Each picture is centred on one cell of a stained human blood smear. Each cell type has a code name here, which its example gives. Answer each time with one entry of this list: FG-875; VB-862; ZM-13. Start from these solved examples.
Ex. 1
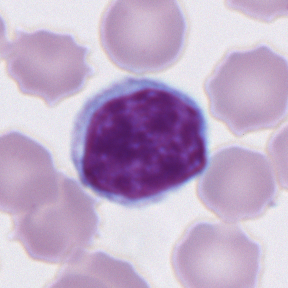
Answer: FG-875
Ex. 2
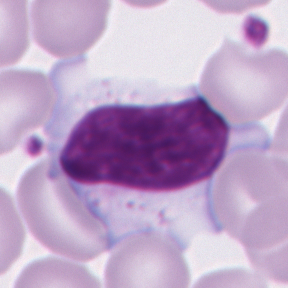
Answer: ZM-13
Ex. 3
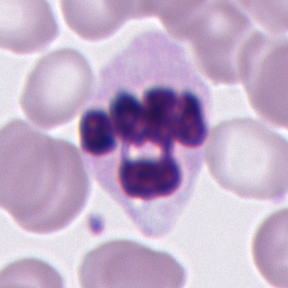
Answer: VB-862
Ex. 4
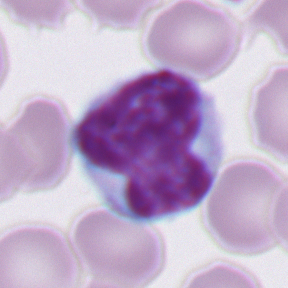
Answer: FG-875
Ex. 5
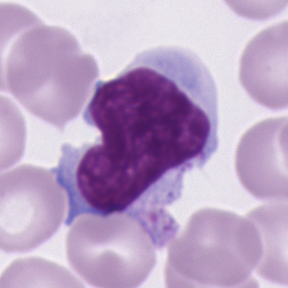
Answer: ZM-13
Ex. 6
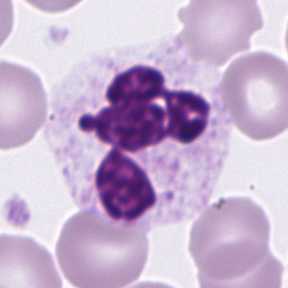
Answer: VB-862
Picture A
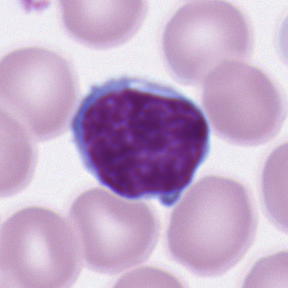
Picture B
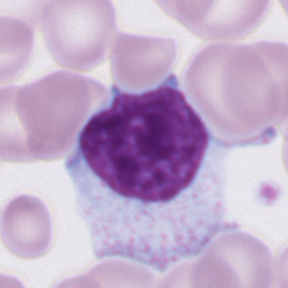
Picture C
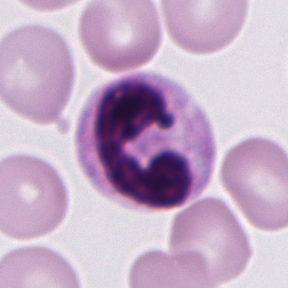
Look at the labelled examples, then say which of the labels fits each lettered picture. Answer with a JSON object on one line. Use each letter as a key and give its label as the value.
{"A": "FG-875", "B": "ZM-13", "C": "VB-862"}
